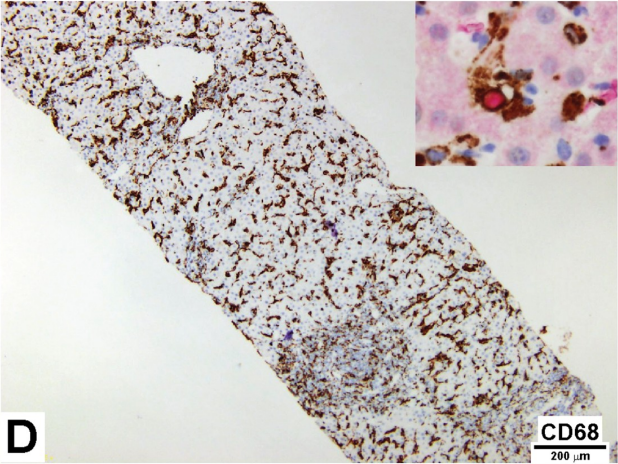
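A liver core in which numerous brown-stained macrophages with elongated, branching shapes lie within the sinusoids between pale hepatocyte plates, with a denser cellular portal area below. In the inset at higher magnification, a large brown histiocyte encloses a round bright red body, amid pale hepatocytes with blue nuclei.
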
